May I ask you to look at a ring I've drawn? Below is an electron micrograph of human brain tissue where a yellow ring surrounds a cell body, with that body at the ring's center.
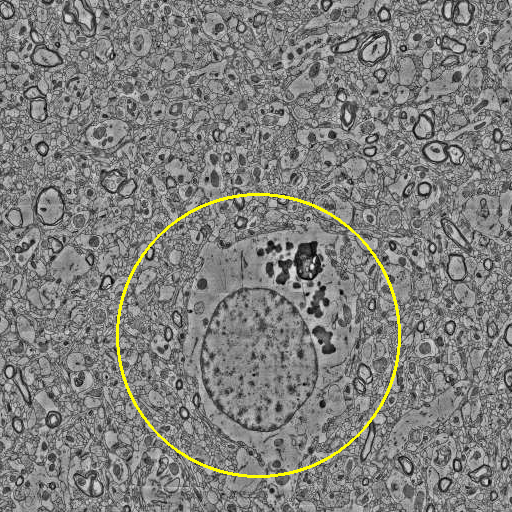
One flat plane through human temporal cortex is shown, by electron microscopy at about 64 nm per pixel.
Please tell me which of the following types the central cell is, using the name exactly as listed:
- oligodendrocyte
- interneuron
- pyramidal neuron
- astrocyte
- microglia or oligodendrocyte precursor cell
astrocyte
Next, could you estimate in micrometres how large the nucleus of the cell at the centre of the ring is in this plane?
Roughly 9 by 7 micrometres in this plane, for the nucleus of the ringed cell.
